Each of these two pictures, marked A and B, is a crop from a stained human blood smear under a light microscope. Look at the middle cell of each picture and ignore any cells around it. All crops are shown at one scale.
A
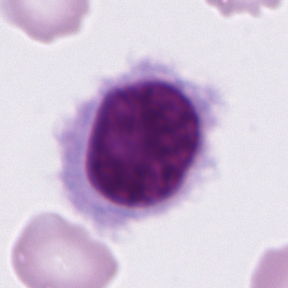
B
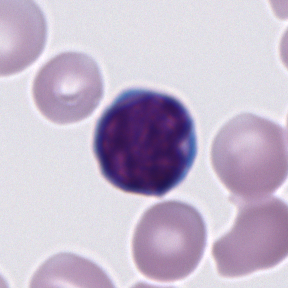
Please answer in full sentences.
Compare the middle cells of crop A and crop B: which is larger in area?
Crop A holds the larger cell; it covers about 2 times the area of the cell in crop B.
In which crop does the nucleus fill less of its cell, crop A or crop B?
The nucleus fills less of the cell in crop A than in crop B.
